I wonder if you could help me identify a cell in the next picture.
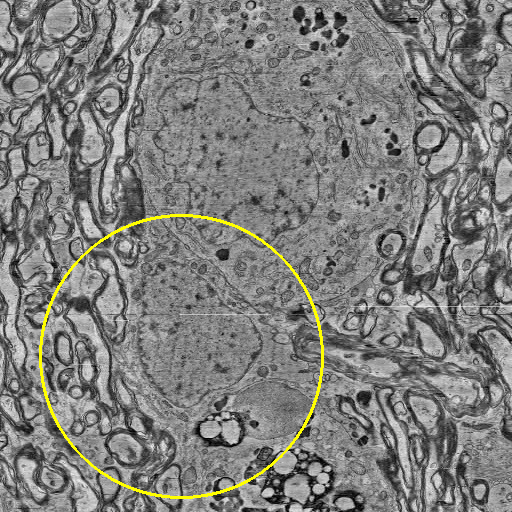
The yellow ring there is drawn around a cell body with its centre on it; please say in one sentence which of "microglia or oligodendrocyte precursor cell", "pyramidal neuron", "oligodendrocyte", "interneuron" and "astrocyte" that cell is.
The yellow ring is centred on an astrocyte.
